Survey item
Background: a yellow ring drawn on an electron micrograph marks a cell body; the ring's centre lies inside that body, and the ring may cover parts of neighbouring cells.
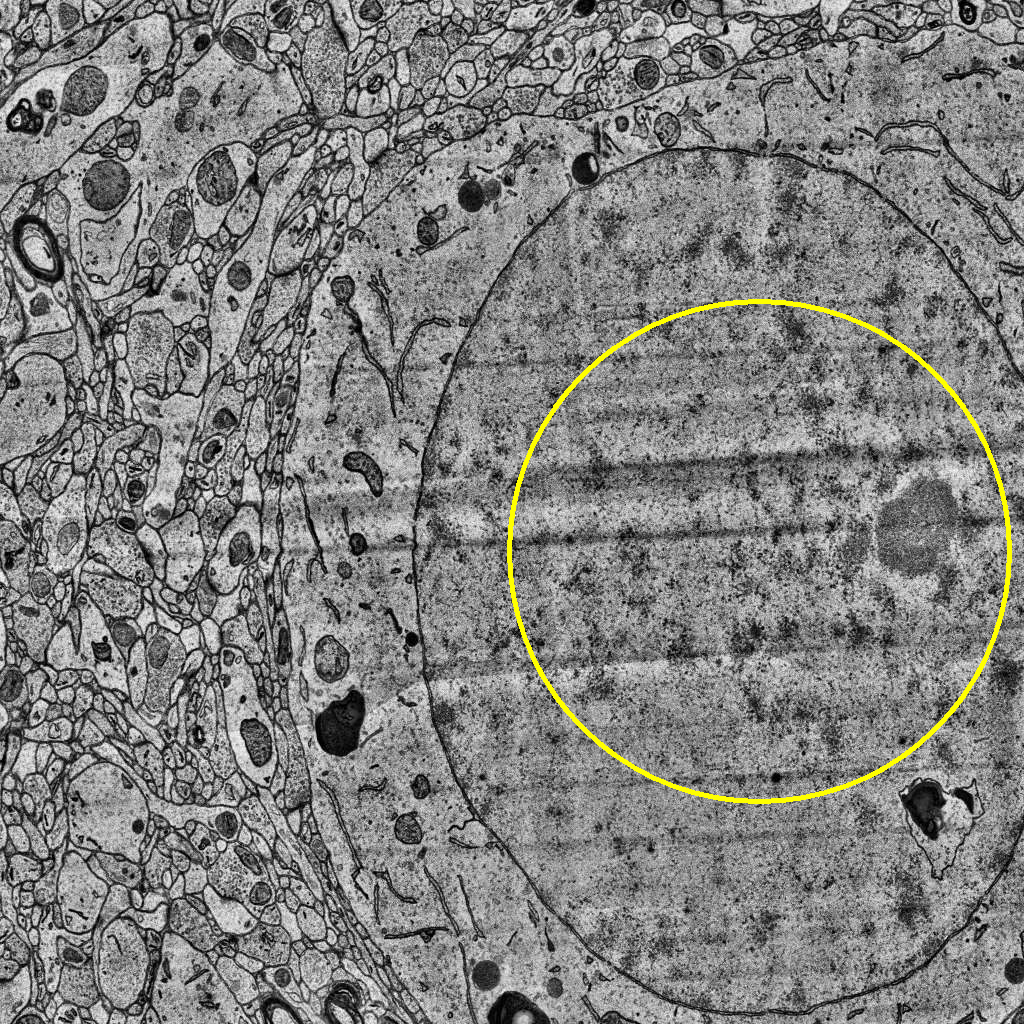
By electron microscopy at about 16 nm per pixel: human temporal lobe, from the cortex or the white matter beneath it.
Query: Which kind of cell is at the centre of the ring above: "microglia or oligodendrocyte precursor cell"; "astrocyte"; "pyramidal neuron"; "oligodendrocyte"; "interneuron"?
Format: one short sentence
The cell in the middle of the ring is a pyramidal neuron.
